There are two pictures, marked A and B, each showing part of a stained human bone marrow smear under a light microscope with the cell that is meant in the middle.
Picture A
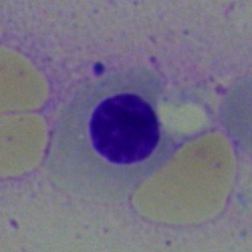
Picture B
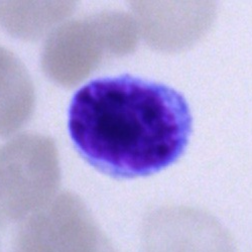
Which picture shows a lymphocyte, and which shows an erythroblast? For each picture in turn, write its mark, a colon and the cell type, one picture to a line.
A: erythroblast
B: lymphocyte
